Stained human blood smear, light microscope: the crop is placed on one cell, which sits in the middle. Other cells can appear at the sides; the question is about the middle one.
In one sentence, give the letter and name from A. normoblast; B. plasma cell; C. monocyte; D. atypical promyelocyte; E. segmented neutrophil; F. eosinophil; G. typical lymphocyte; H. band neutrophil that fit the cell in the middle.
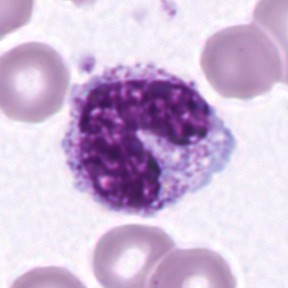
Located in the middle of the crop is a band neutrophil, and option H is therefore correct.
